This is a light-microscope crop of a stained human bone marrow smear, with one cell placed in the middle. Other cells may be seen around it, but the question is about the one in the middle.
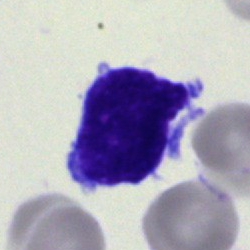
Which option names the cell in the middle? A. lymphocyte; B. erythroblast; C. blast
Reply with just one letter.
C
